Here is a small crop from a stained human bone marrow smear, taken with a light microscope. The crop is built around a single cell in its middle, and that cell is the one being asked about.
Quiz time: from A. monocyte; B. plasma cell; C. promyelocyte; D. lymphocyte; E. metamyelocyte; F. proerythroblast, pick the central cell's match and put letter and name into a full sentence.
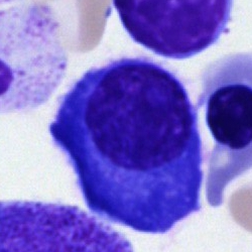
Option B is to be chosen, as the central cell is a plasma cell.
